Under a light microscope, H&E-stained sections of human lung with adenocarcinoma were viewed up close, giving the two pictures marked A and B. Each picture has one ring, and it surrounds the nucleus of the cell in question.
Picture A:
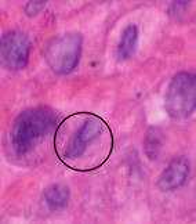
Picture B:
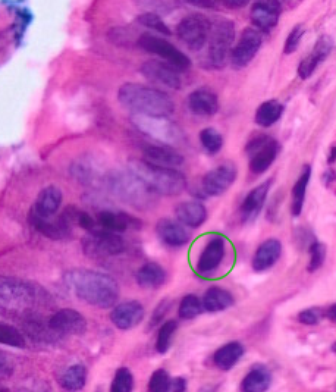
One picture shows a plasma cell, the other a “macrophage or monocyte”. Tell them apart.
A: macrophage or monocyte
B: plasma cell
